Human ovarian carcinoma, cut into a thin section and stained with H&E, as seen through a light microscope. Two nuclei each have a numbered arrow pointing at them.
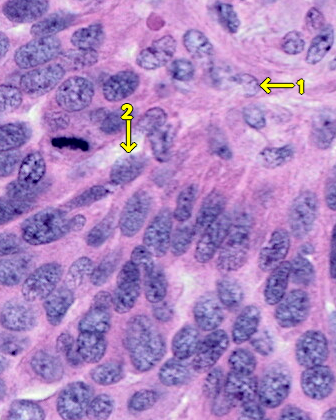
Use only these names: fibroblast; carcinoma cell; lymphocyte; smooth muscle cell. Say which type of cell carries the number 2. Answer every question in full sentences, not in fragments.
Here the cell numbered 2 is a carcinoma cell.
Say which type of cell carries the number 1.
The cell given label 1 is a fibroblast.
